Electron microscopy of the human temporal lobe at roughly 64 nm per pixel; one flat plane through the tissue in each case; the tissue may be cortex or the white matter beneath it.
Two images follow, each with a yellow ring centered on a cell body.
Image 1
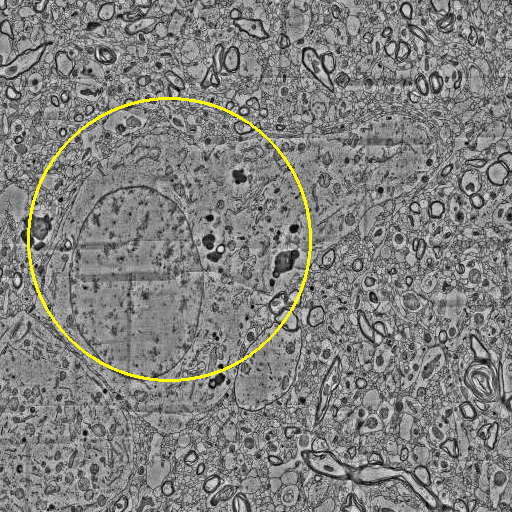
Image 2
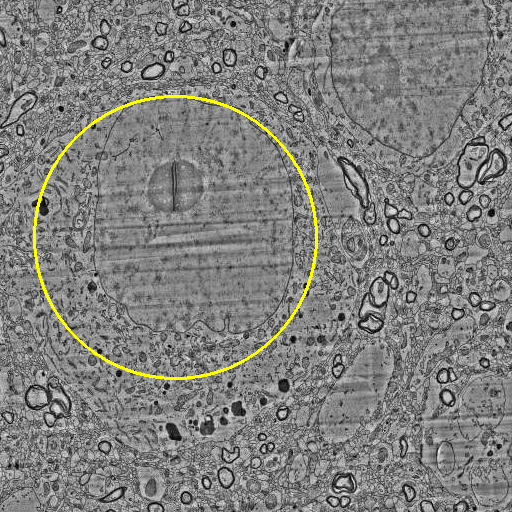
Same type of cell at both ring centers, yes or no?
yes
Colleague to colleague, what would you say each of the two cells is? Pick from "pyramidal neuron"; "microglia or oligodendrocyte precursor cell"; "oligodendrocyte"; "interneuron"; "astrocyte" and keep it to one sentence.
Each one of the two ringed cells is a pyramidal neuron.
